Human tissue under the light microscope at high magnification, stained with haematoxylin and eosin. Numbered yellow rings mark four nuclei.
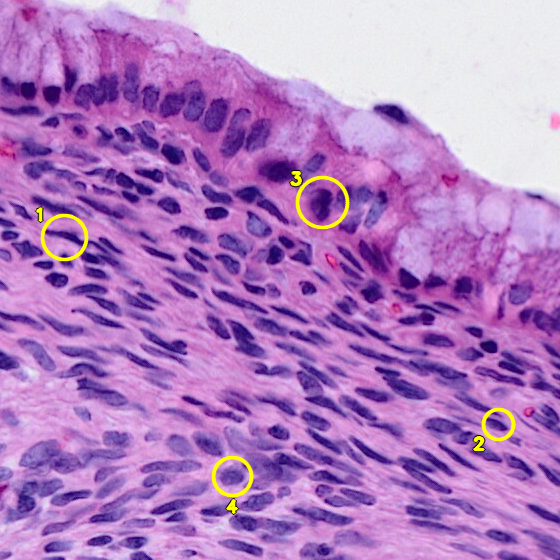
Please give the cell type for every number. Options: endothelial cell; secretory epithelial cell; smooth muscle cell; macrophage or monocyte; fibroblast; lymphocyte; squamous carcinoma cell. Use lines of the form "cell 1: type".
cell 1: fibroblast
cell 2: fibroblast
cell 3: secretory epithelial cell
cell 4: fibroblast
